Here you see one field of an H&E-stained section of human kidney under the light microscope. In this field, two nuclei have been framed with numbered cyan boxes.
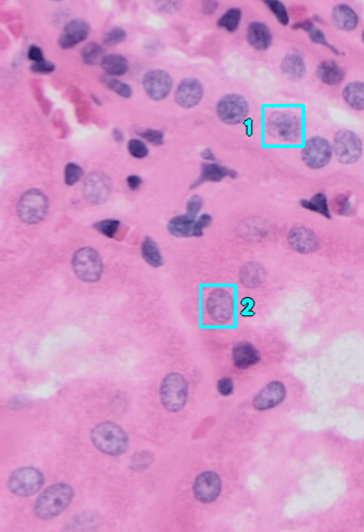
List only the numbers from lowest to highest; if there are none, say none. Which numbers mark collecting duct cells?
1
